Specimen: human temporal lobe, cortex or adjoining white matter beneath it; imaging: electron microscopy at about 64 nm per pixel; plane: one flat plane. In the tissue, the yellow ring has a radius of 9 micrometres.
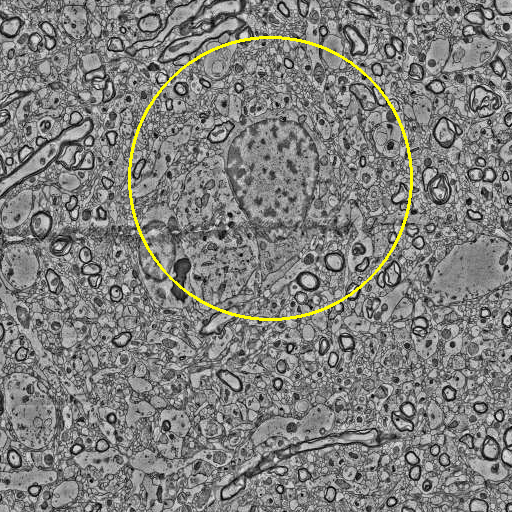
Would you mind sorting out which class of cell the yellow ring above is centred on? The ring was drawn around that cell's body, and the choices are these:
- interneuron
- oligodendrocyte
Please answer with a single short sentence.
This is the cell body of an oligodendrocyte.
